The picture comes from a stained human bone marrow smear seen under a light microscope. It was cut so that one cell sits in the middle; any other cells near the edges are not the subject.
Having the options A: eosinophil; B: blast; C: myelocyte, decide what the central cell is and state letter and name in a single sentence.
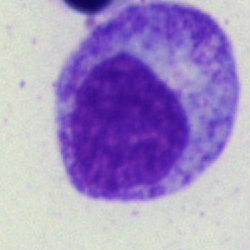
The central cell is a myelocyte, which makes option C the right answer.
